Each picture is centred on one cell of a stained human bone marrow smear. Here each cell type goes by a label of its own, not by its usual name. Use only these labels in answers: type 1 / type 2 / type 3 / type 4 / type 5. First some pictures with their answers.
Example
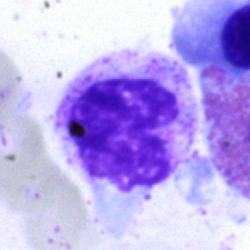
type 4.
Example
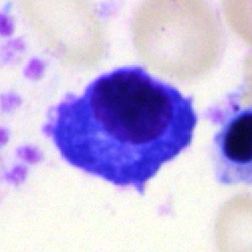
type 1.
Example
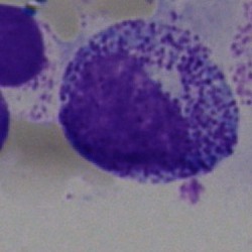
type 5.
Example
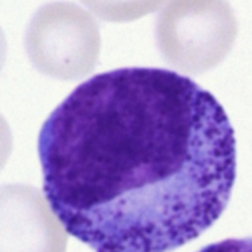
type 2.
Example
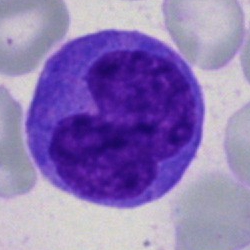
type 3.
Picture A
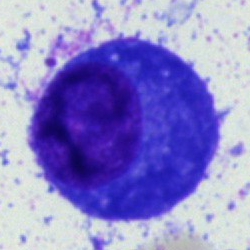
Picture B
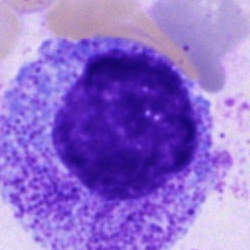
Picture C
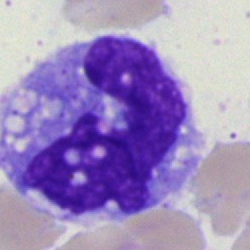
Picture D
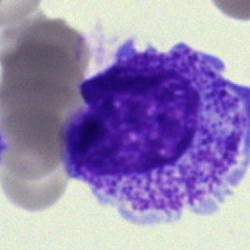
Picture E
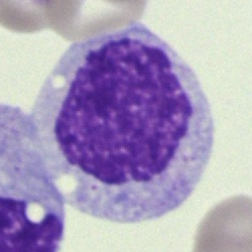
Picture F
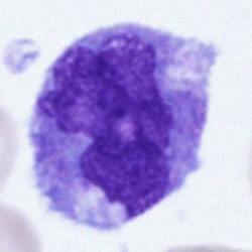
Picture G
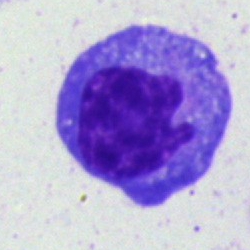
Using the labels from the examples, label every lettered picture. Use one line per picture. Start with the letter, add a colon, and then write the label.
A: type 1.
B: type 2.
C: type 3.
D: type 5.
E: type 5.
F: type 3.
G: type 1.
